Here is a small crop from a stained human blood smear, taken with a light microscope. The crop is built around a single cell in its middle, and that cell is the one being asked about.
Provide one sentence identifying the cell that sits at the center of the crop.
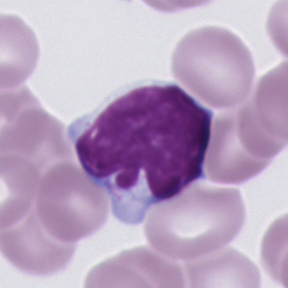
The cell positioned in the middle of the field is a large granular lymphocyte.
